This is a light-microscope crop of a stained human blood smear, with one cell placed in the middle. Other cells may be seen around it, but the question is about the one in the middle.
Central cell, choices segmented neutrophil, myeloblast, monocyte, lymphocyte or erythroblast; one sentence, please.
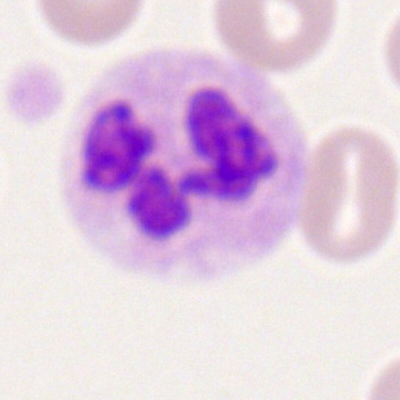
Standing at the centre of this crop is a segmented neutrophil.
